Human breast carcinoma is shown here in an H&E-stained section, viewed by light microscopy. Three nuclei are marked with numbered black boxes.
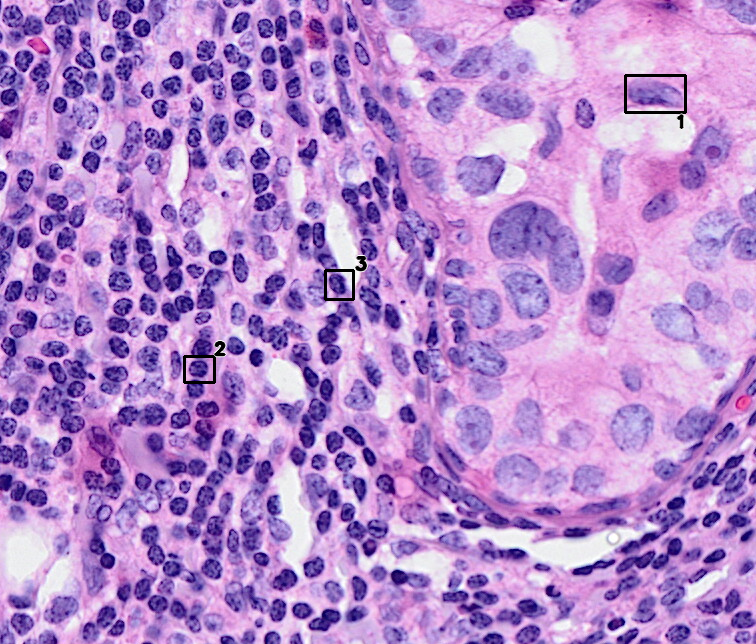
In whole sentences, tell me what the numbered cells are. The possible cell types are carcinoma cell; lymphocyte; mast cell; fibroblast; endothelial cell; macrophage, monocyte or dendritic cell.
Cell 1 is a carcinoma cell, cell 2 is a lymphocyte and cell 3 is a lymphocyte.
